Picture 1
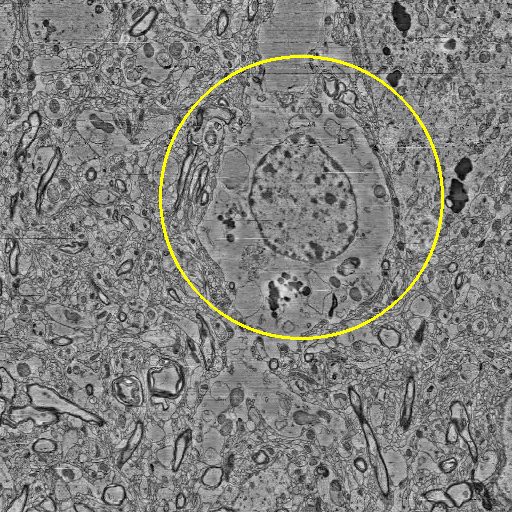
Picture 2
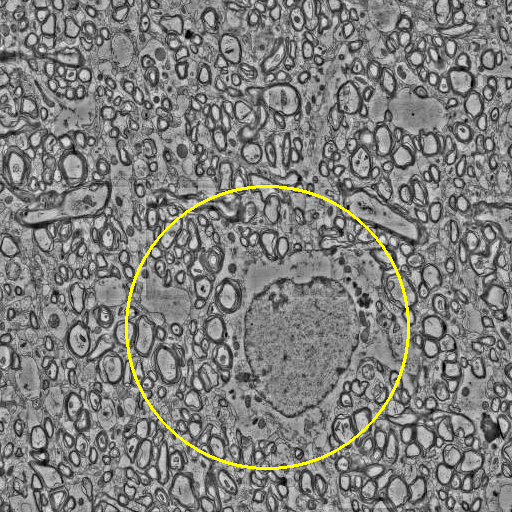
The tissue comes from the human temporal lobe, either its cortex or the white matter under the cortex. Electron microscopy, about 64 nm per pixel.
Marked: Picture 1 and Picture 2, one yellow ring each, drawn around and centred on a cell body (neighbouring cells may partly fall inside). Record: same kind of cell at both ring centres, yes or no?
yes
